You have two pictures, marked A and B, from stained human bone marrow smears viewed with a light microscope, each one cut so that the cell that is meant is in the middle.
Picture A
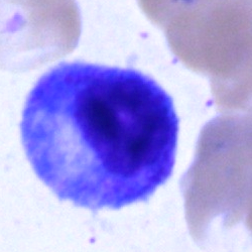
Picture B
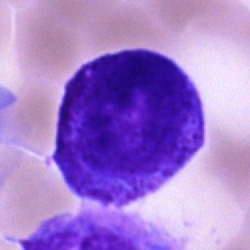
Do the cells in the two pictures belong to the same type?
no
